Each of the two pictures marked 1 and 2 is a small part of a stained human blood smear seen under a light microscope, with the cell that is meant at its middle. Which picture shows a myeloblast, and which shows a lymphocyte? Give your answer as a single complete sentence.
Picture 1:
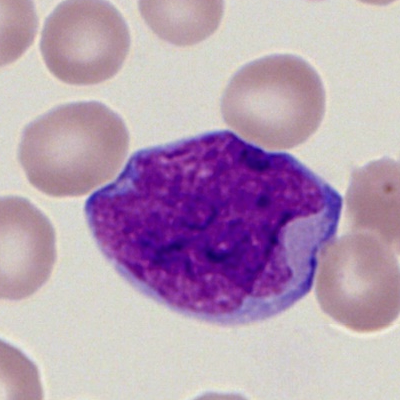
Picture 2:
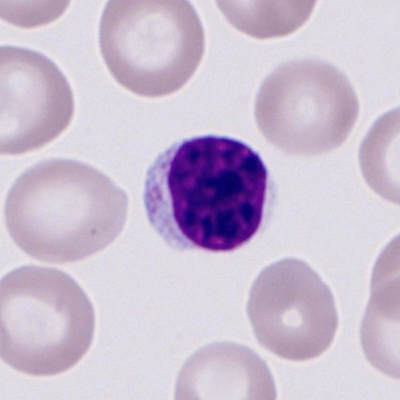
It is picture 1 that shows a myeloblast, and picture 2 that shows a lymphocyte.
